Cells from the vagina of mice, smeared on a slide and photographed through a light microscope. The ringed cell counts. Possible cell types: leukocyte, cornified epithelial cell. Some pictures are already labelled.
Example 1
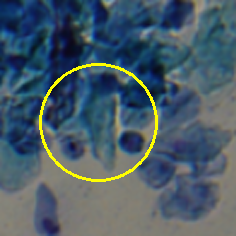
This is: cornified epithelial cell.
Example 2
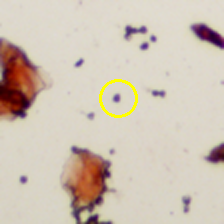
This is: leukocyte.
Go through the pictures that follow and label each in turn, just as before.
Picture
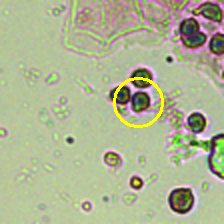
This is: leukocyte.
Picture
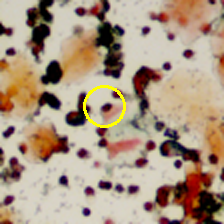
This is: leukocyte.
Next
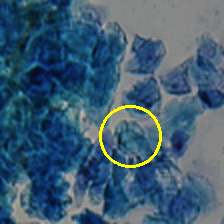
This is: cornified epithelial cell.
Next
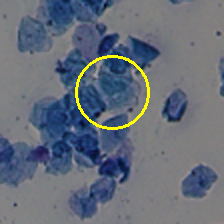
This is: cornified epithelial cell.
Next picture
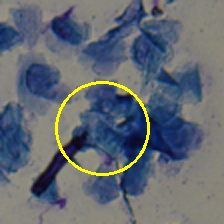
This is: cornified epithelial cell.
